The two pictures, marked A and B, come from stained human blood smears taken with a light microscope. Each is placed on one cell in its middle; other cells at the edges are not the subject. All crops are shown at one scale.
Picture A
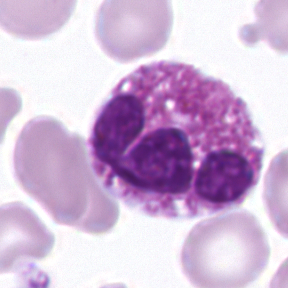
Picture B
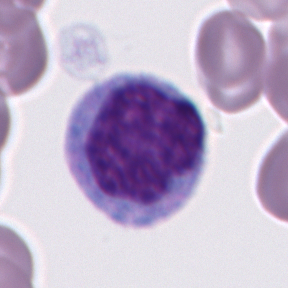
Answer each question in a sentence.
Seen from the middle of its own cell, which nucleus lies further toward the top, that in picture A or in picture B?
It is the nucleus in picture B that lies further toward the top of its cell.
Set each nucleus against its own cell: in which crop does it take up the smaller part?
It is the cell in picture A that is filled less by its nucleus.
